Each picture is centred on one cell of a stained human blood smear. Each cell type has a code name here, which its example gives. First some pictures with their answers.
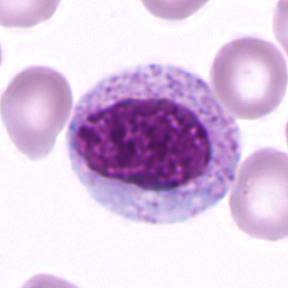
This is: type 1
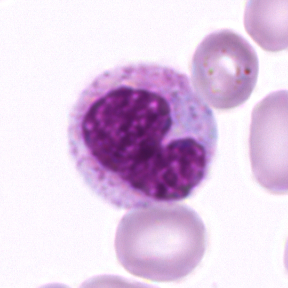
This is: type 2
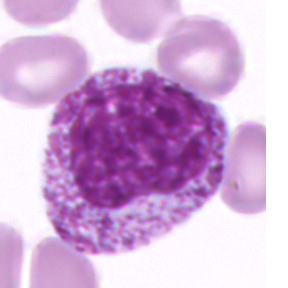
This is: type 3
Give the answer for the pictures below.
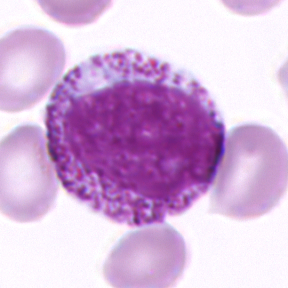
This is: type 3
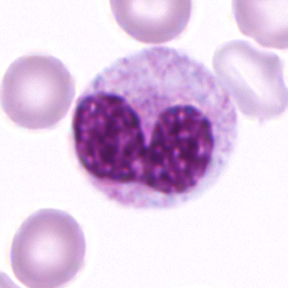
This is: type 2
